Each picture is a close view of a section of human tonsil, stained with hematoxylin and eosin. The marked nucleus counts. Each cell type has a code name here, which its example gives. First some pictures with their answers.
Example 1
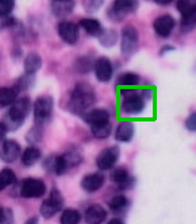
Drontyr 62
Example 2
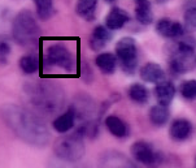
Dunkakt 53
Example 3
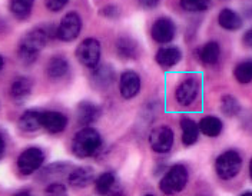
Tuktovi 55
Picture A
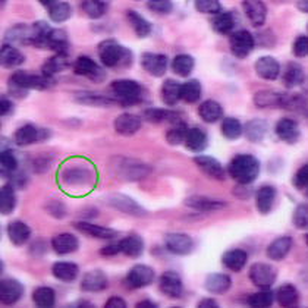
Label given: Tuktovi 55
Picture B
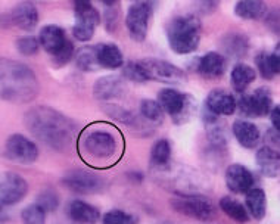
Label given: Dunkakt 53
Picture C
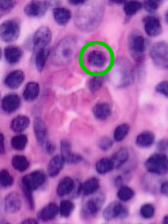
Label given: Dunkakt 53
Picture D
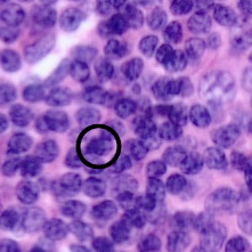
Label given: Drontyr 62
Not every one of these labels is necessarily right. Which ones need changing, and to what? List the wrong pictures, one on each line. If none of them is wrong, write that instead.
Wrong: A (Tuktovi 55); correct: Dunkakt 53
